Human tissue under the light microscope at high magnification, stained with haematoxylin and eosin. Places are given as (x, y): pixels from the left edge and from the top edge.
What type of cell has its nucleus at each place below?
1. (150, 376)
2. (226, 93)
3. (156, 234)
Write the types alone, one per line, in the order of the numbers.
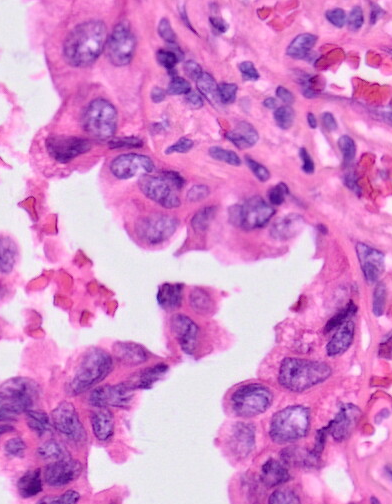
carcinoma cell
lymphocyte
carcinoma cell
